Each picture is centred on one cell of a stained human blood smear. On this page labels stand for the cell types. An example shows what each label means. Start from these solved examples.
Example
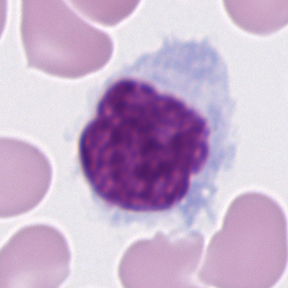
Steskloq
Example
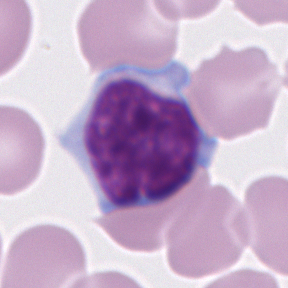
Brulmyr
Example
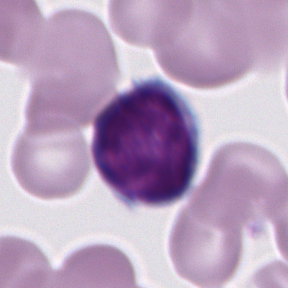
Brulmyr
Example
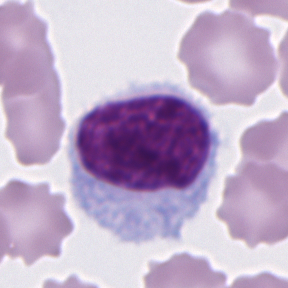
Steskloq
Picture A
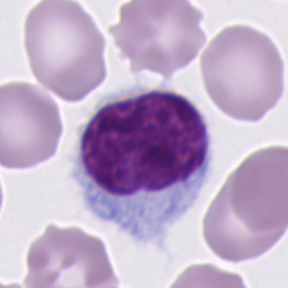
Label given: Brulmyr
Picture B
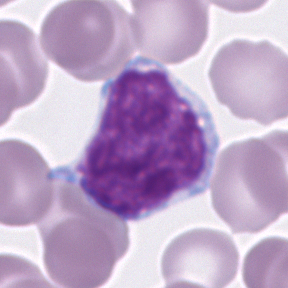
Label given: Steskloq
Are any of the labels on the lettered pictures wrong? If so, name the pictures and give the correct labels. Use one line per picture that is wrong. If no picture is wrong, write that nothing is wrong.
A should be Steskloq, not Brulmyr
B should be Brulmyr, not Steskloq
